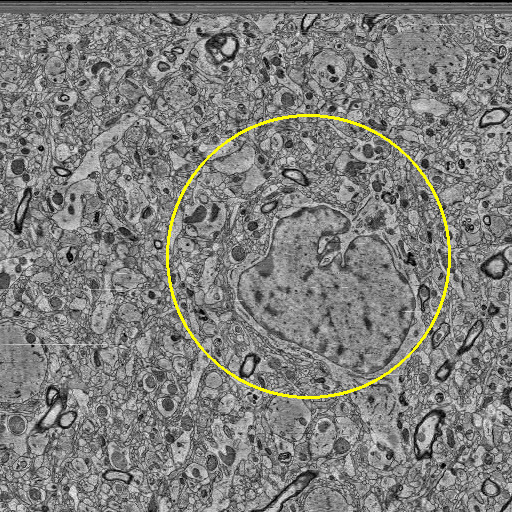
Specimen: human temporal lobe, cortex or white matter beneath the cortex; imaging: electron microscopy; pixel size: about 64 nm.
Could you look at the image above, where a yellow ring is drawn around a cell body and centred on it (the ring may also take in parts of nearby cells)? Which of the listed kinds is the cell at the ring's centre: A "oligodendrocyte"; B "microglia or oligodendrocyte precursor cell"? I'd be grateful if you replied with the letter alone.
B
